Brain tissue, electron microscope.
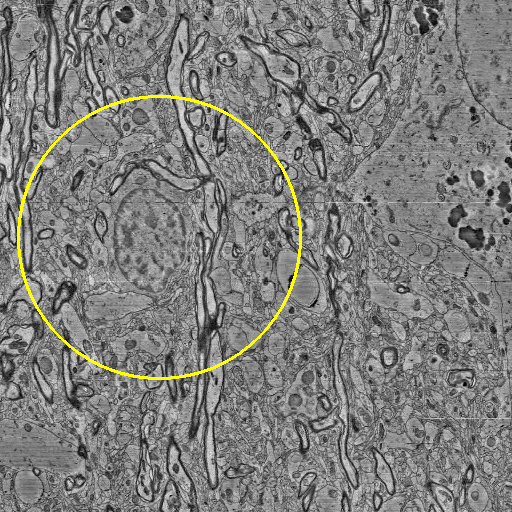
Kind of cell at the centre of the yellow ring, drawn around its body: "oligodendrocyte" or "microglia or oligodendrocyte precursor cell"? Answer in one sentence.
The ring's centre falls on an oligodendrocyte.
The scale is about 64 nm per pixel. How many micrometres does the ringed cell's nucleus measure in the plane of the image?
About 7 by 5 micrometers, in this plane.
